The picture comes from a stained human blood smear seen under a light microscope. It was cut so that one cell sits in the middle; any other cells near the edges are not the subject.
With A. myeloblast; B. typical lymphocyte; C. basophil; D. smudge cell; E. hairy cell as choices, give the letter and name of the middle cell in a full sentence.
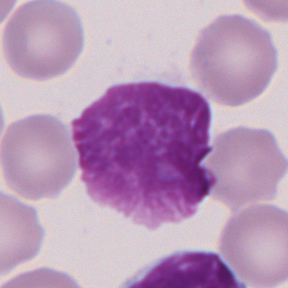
The best answer is option D, since the cell in the middle is a smudge cell.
